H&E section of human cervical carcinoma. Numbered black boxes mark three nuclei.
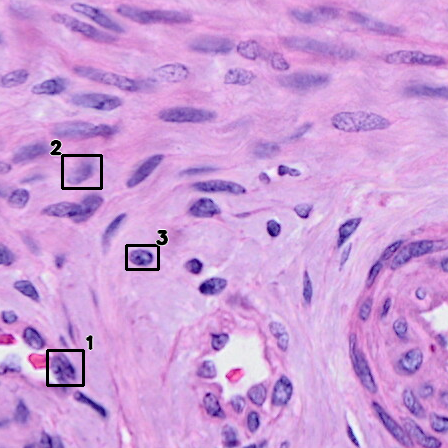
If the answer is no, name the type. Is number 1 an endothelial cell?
Yes.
